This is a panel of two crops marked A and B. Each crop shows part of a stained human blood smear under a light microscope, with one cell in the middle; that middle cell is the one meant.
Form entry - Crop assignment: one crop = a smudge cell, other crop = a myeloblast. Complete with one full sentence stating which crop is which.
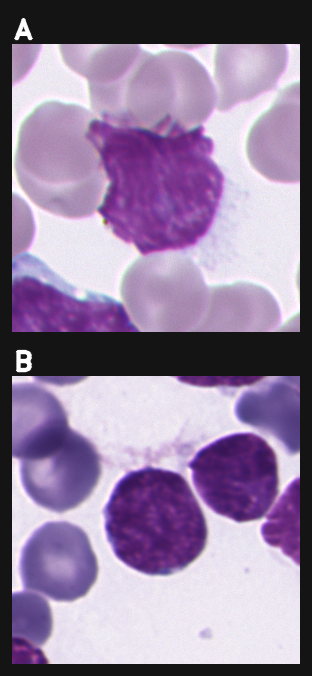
Respectively, crops A and B show a smudge cell and a myeloblast.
